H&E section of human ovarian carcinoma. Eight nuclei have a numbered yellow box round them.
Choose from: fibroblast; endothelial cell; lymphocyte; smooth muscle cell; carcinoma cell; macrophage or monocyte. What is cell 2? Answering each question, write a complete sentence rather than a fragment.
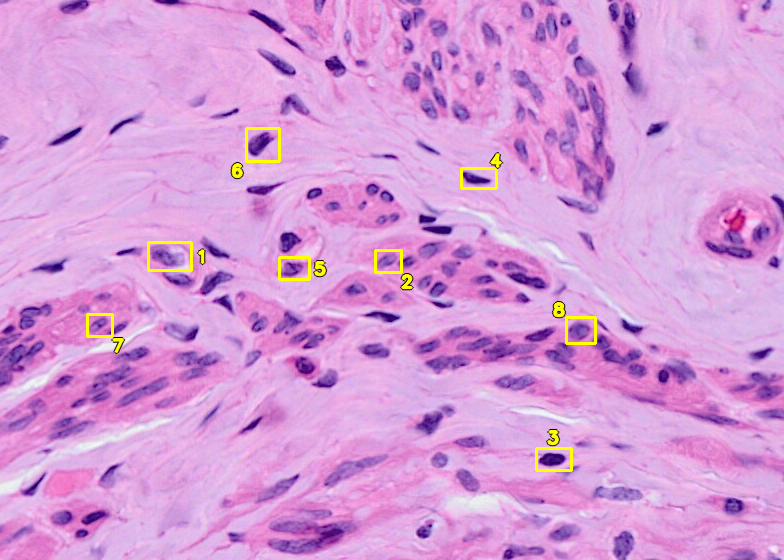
The marked nucleus 2 is that of a smooth muscle cell.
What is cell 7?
The label 7 in this section denotes a smooth muscle cell.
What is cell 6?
The cell indicated with the number 6 is classed as a fibroblast.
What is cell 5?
The numeral 5 marks an endothelial cell in this section.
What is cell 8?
Here the cell numbered 8 is a smooth muscle cell.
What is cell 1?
Recognised here as an endothelial cell is the cell numbered 1.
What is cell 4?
The cell assigned the number 4 is a fibroblast.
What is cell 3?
Among the marked nuclei, number 3 belongs to a lymphocyte.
